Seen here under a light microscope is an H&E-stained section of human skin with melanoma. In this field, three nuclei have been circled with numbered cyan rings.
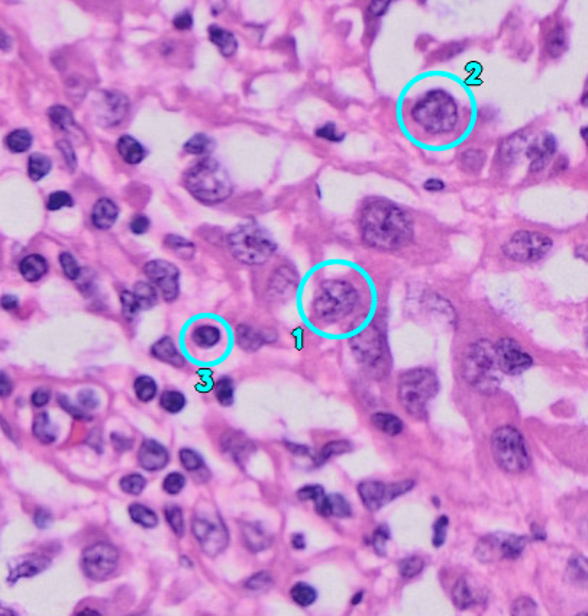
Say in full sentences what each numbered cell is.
Cell 1 is a melanoma cell, cell 2 is a melanoma cell and cell 3 is a lymphocyte.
